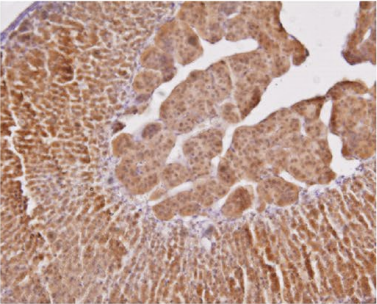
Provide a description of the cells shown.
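Adrenal gland at moderate magnification showing cortex and central medulla. Cortical cells are arranged in radial cords separated by narrow clefts, with abundant cytoplasm stained brown and small rounded nuclei. Toward the centre, a narrow band of more densely packed cells with blue nuclei and paler cytoplasm marks the boundary between cortex and medulla. The medulla consists of irregular clusters of larger cells with brown cytoplasm and round nuclei, lying between wide, branching vascular spaces that appear empty and white.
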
